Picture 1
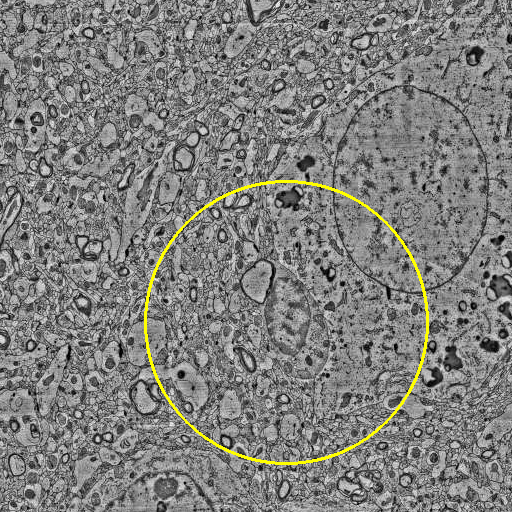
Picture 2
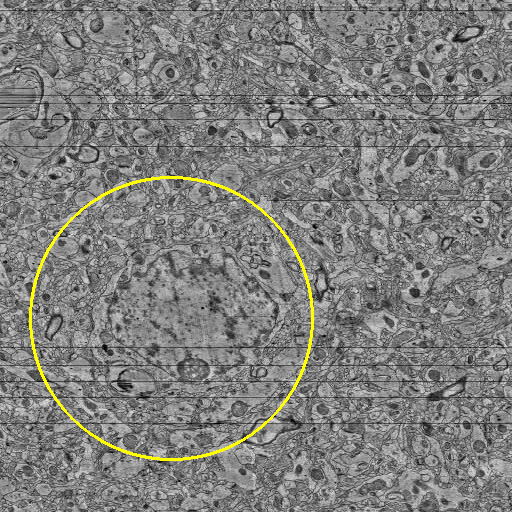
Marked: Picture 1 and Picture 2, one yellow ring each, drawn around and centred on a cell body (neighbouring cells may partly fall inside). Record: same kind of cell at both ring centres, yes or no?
no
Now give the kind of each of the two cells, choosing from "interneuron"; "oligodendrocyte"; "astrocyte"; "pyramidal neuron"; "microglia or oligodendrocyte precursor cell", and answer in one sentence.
The cell in the first picture is an oligodendrocyte, and the cell in the second is an interneuron.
